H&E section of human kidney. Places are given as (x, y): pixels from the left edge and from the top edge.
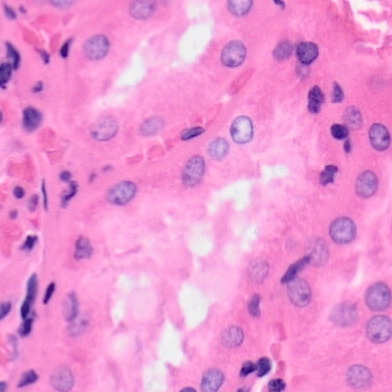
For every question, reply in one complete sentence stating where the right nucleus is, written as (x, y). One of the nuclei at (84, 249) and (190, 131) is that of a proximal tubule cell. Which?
The nucleus located at (84, 249) is the one held within a proximal tubule cell.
